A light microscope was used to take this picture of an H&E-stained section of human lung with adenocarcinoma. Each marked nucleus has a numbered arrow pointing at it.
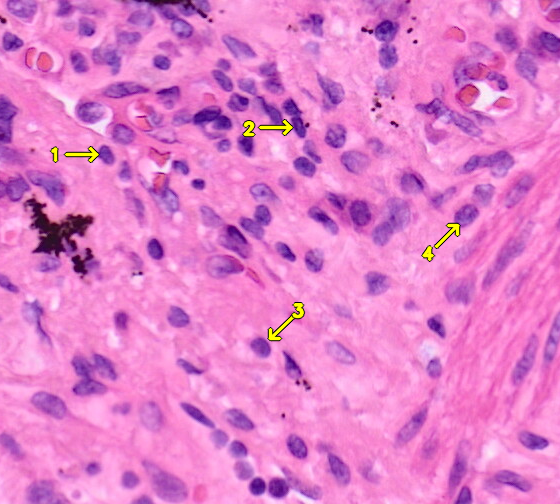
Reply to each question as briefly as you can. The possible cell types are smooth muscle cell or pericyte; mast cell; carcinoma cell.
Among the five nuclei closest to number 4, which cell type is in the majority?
smooth muscle cell or pericyte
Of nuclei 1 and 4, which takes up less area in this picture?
1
